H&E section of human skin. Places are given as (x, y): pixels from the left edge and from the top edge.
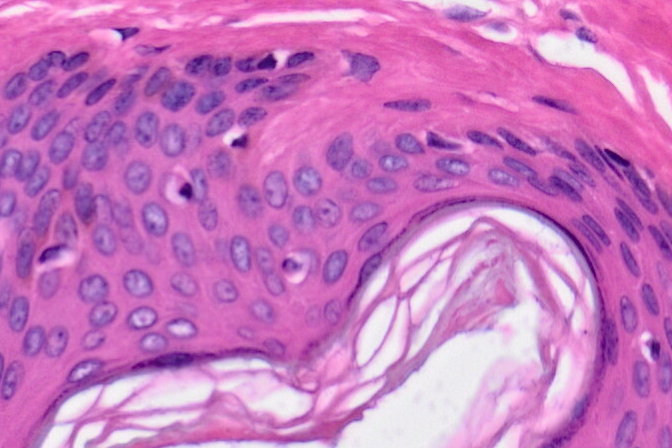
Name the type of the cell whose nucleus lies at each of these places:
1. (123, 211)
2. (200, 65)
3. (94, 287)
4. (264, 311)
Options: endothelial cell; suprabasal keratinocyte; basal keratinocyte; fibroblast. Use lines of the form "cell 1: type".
cell 1: suprabasal keratinocyte
cell 2: basal keratinocyte
cell 3: suprabasal keratinocyte
cell 4: suprabasal keratinocyte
